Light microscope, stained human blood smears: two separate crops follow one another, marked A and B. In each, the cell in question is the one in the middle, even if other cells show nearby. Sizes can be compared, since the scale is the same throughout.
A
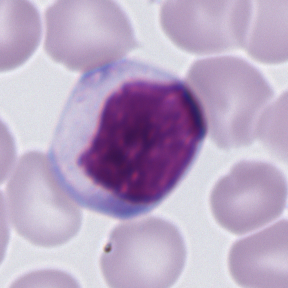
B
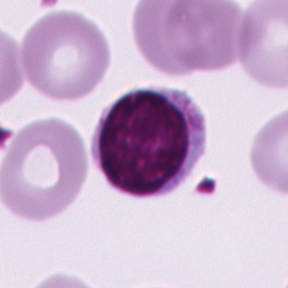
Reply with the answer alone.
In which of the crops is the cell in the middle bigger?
A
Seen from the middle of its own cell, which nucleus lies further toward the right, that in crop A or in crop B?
A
